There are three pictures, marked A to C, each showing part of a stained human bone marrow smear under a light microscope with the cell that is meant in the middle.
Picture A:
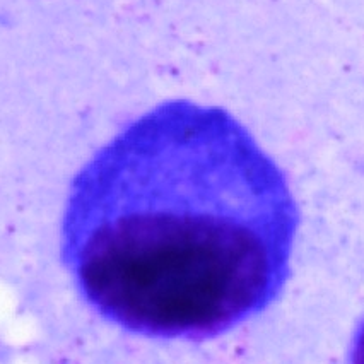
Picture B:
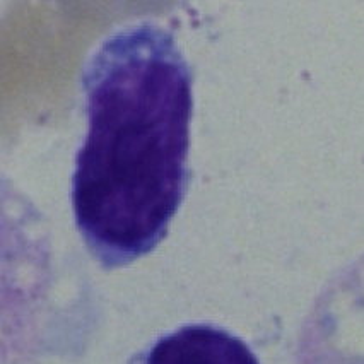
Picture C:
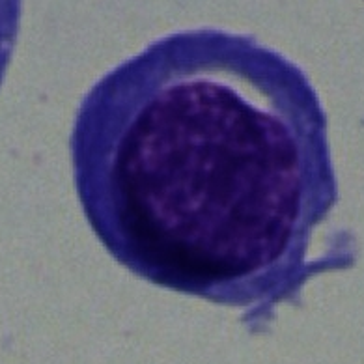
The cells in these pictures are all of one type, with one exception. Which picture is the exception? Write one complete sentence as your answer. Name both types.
Unlike the rest, which show plasma cells, picture B shows a lymphocyte.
